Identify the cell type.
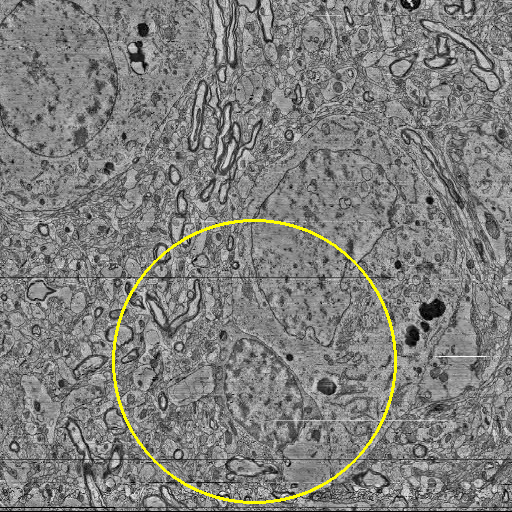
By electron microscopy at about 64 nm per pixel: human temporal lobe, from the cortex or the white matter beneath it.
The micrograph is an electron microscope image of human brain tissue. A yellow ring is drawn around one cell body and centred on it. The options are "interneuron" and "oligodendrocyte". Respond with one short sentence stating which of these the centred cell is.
The cell body in the ring belongs to an oligodendrocyte.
